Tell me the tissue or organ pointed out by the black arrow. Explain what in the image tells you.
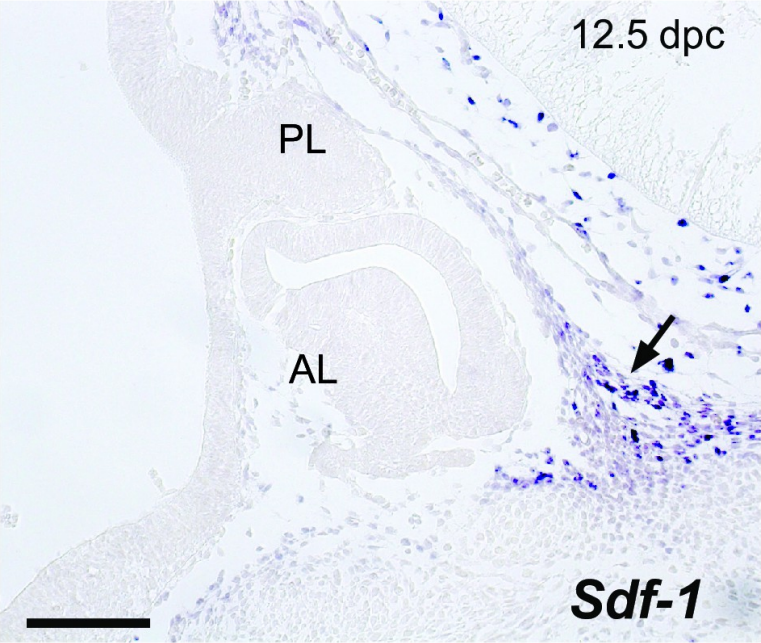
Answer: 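The arrow points to loosely arranged cells lying outside the epithelial lobes. Many dark purple labelled cells sit in this loose tissue. The lobes themselves are unlabelled. The answer: mesenchymal tissue.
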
